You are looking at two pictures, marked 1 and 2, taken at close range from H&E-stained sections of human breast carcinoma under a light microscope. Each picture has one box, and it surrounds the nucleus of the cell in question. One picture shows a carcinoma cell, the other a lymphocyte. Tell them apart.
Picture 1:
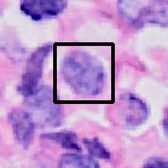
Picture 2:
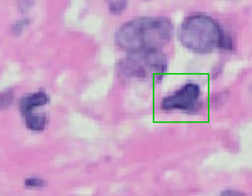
1: carcinoma cell
2: lymphocyte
